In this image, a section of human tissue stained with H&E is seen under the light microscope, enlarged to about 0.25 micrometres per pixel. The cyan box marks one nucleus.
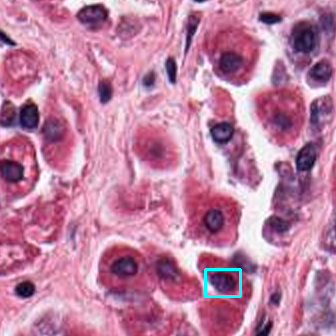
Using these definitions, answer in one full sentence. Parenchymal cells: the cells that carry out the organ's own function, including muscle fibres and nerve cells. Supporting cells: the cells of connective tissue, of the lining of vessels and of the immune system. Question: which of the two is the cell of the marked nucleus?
The marked nucleus is part of the parenchyma, belonging to a parietal cell.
